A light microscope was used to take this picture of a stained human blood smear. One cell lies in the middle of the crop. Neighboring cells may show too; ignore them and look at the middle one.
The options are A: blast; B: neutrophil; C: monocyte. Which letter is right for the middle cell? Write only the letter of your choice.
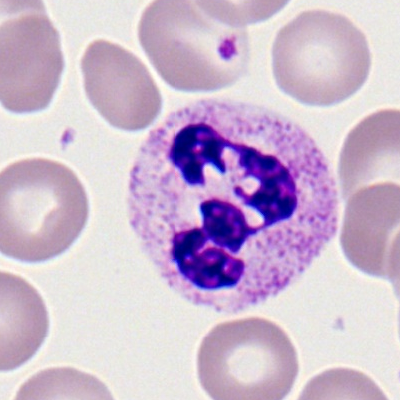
B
